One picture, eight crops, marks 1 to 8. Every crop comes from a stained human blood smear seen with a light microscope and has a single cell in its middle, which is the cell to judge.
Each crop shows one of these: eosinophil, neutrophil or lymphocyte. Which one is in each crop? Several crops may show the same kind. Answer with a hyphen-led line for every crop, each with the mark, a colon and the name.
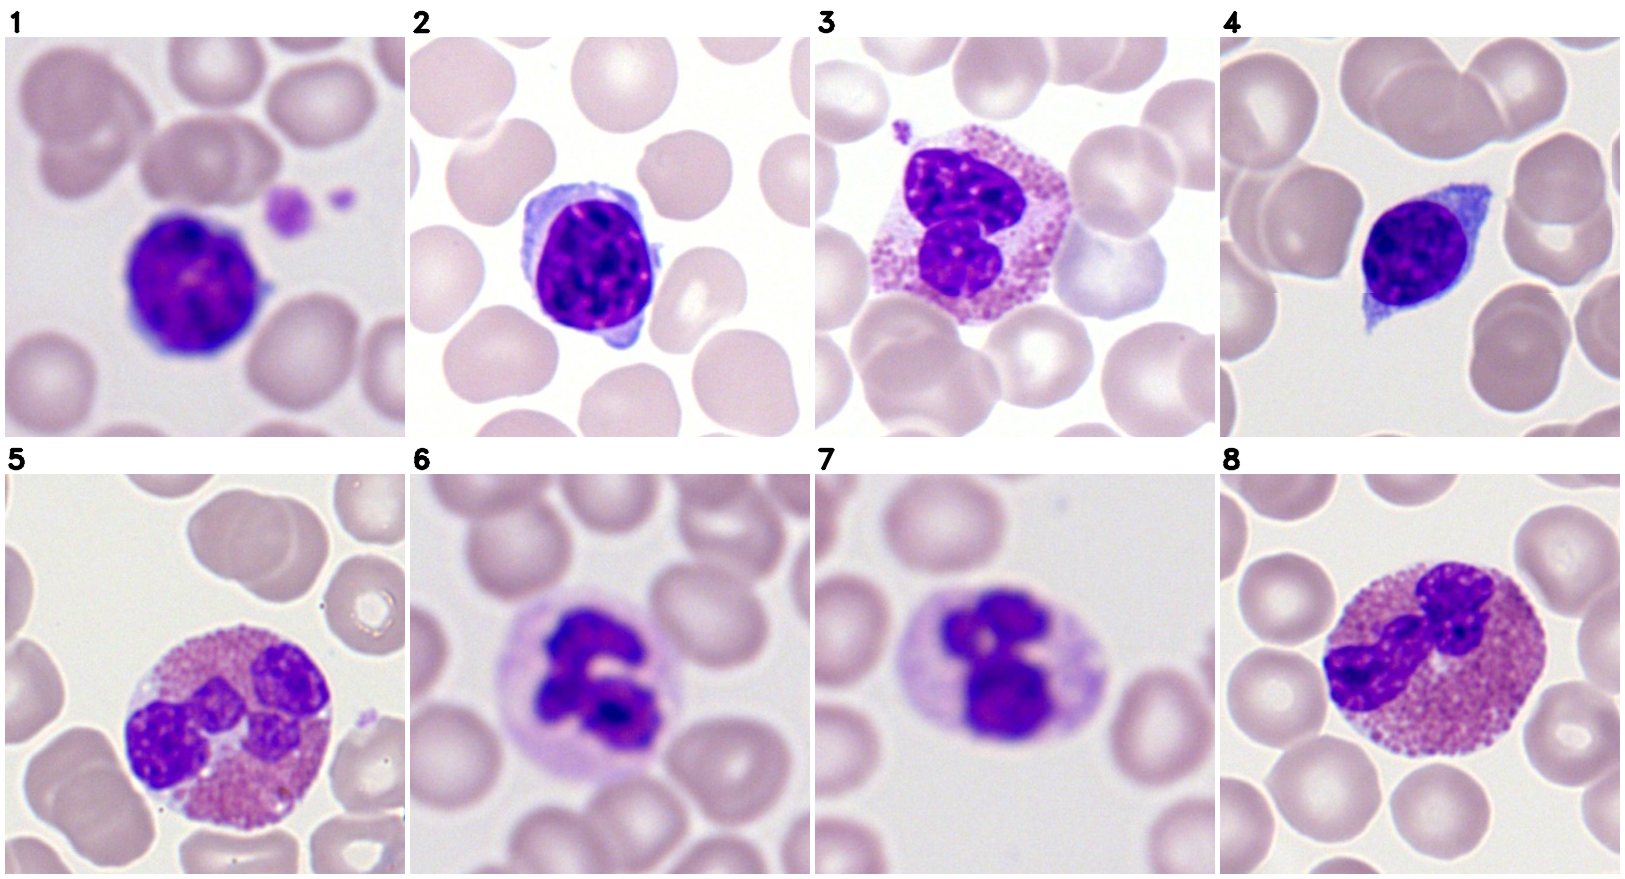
- 1: lymphocyte
- 2: lymphocyte
- 3: eosinophil
- 4: lymphocyte
- 5: eosinophil
- 6: neutrophil
- 7: neutrophil
- 8: eosinophil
